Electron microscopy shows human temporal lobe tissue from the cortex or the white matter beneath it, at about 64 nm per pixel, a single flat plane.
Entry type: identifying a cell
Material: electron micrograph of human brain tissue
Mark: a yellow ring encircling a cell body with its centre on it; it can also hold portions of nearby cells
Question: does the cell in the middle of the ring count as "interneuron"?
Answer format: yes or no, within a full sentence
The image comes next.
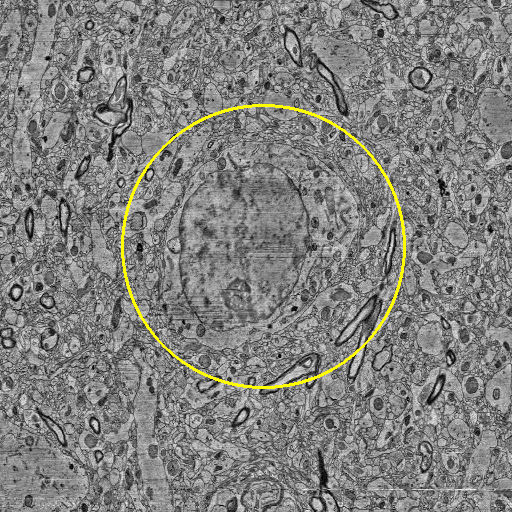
Yes, in the image, the cell in the middle of the yellow ring counts as the queried kind.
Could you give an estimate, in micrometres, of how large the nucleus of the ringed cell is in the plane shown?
In this plane the nucleus measures roughly 11 by 9 micrometres.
